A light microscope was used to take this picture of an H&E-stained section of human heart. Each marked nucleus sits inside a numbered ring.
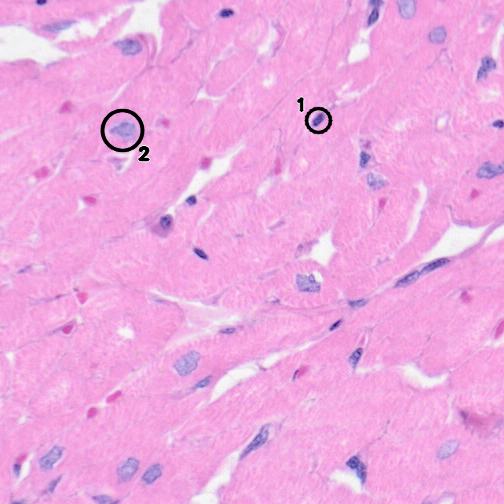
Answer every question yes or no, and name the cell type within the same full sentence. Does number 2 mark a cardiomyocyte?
Yes, the cell given number 2 is a cardiomyocyte.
